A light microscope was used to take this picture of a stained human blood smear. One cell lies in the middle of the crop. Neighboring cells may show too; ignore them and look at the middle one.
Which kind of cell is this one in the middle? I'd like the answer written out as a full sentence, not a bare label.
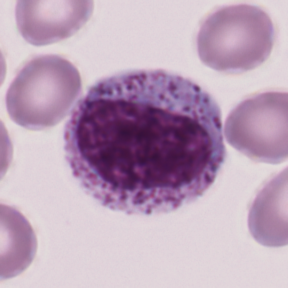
As for the cell in the middle, it is a metamyelocyte.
